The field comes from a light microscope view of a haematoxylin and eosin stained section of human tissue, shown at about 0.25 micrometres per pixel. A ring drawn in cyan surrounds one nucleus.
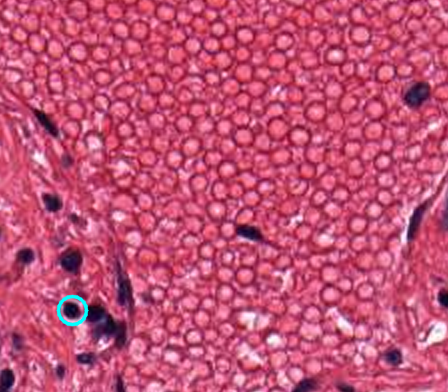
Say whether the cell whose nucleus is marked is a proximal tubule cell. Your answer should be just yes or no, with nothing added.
no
